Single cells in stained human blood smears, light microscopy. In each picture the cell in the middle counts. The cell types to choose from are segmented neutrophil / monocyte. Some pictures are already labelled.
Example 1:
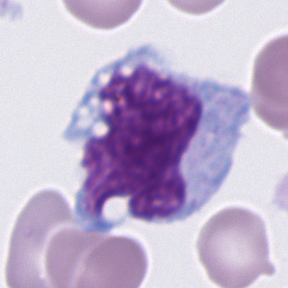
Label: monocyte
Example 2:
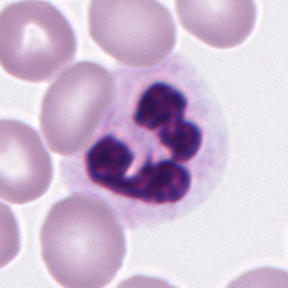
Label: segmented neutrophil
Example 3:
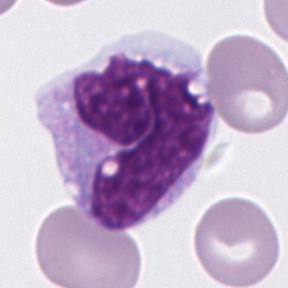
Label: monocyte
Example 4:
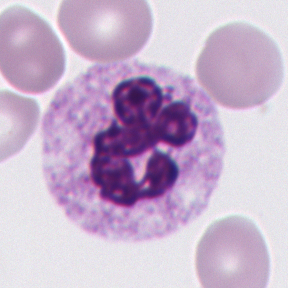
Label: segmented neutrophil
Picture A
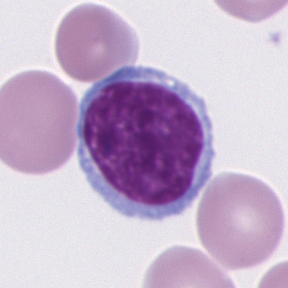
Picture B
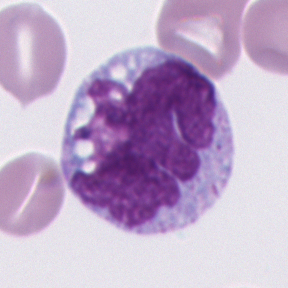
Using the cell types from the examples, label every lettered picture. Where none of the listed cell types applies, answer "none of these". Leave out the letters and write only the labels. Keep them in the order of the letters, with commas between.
none of these, monocyte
